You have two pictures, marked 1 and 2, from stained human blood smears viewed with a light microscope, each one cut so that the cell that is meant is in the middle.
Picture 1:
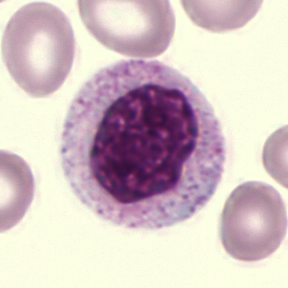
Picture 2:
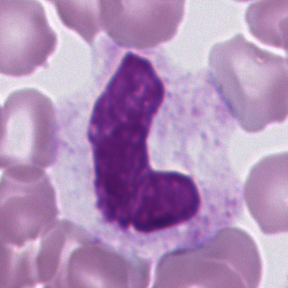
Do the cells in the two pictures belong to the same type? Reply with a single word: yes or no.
no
